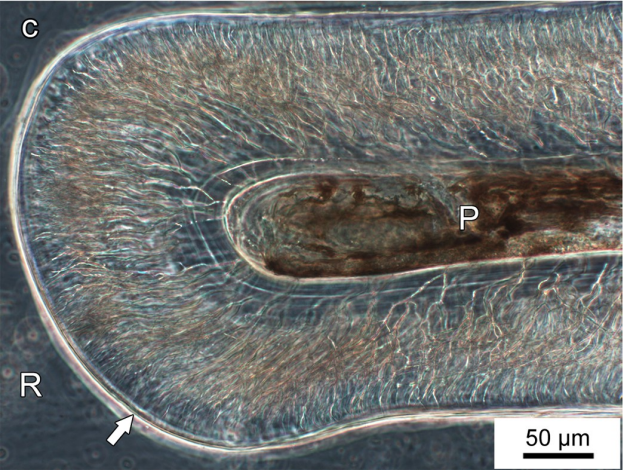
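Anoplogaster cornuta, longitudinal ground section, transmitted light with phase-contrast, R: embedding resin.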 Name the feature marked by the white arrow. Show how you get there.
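The arrow points to the smooth outer contour of the rounded tooth tip. A bright line runs along this contour, separating it from the resin outside. That points to this answer: tooth surface.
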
